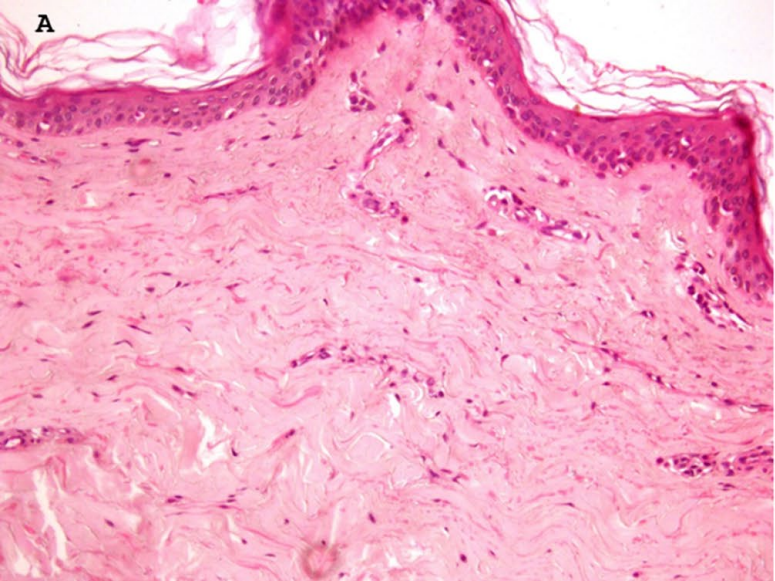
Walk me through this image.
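A thin, evenly layered sheet of closely packed cells with dark purple nuclei runs along the top, with loose pink keratin flakes lifting off its surface. Beneath it lies pale pink wavy fibrous connective tissue with scattered spindle-shaped nuclei and small blood vessels. This is a regular, well-organised epidermis over its supporting connective tissue.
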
